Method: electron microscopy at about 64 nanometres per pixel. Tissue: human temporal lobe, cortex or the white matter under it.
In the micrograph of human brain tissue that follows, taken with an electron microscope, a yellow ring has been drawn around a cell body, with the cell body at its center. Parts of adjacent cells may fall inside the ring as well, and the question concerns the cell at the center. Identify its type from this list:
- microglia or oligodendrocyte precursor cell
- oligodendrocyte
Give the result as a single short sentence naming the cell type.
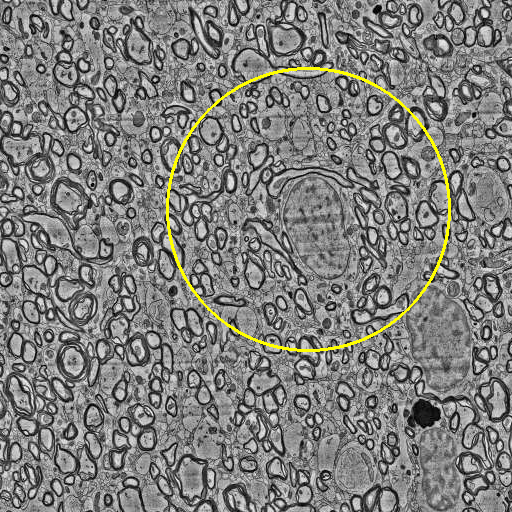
The ring is centered on a microglial cell or oligodendrocyte precursor cell.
